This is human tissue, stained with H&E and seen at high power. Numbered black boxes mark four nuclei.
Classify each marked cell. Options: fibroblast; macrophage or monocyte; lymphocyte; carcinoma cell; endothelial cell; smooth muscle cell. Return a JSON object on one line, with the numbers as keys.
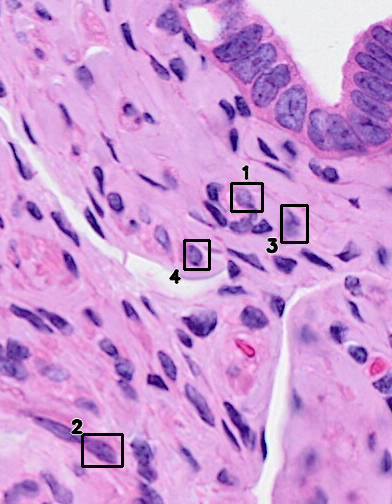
{"1": "endothelial cell", "2": "smooth muscle cell", "3": "fibroblast", "4": "smooth muscle cell"}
